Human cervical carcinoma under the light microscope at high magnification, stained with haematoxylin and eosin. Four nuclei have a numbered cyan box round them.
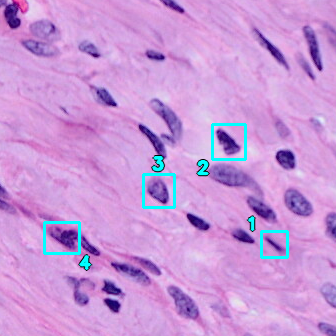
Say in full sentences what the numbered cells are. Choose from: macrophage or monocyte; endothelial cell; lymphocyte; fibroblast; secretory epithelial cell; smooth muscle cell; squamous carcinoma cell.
Cell 1 is a fibroblast, cell 2 is a lymphocyte, cell 3 is a fibroblast and cell 4 is an endothelial cell.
